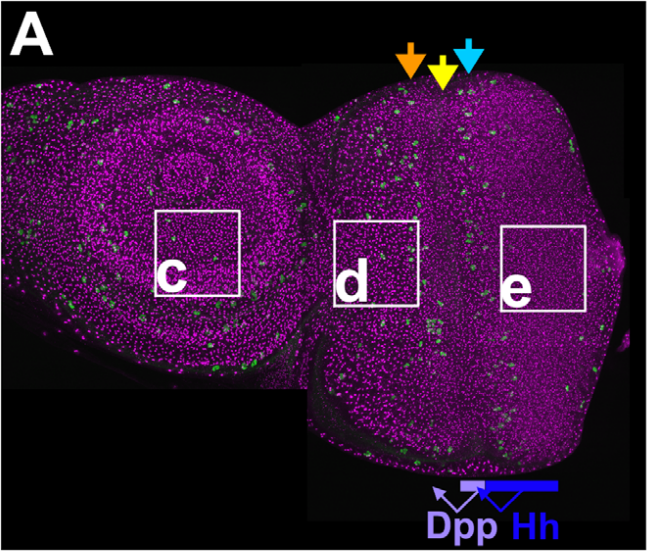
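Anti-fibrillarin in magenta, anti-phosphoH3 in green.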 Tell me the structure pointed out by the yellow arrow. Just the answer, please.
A: morphogenetic furrow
